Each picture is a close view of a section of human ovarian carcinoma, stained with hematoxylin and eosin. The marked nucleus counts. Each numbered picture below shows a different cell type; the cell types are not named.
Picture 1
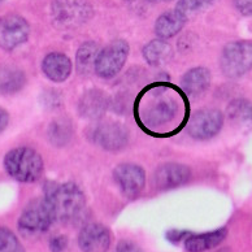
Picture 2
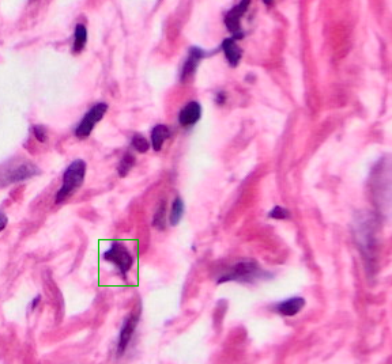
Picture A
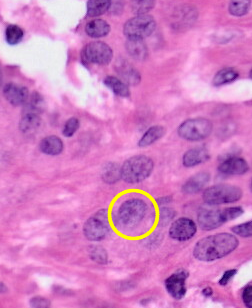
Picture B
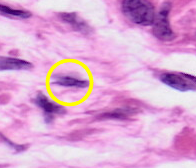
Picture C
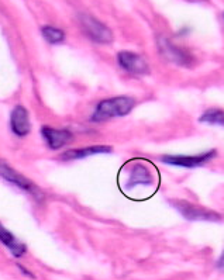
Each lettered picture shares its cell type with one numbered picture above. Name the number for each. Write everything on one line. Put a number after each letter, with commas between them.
A 1, B 2, C 2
